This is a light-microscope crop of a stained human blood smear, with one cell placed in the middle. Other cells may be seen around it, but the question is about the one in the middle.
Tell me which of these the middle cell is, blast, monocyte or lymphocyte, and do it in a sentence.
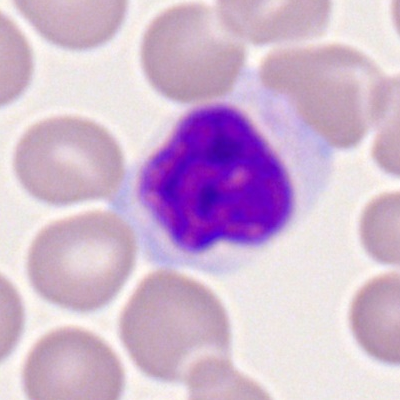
The cell that lies at the centre of the crop is a lymphocyte.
